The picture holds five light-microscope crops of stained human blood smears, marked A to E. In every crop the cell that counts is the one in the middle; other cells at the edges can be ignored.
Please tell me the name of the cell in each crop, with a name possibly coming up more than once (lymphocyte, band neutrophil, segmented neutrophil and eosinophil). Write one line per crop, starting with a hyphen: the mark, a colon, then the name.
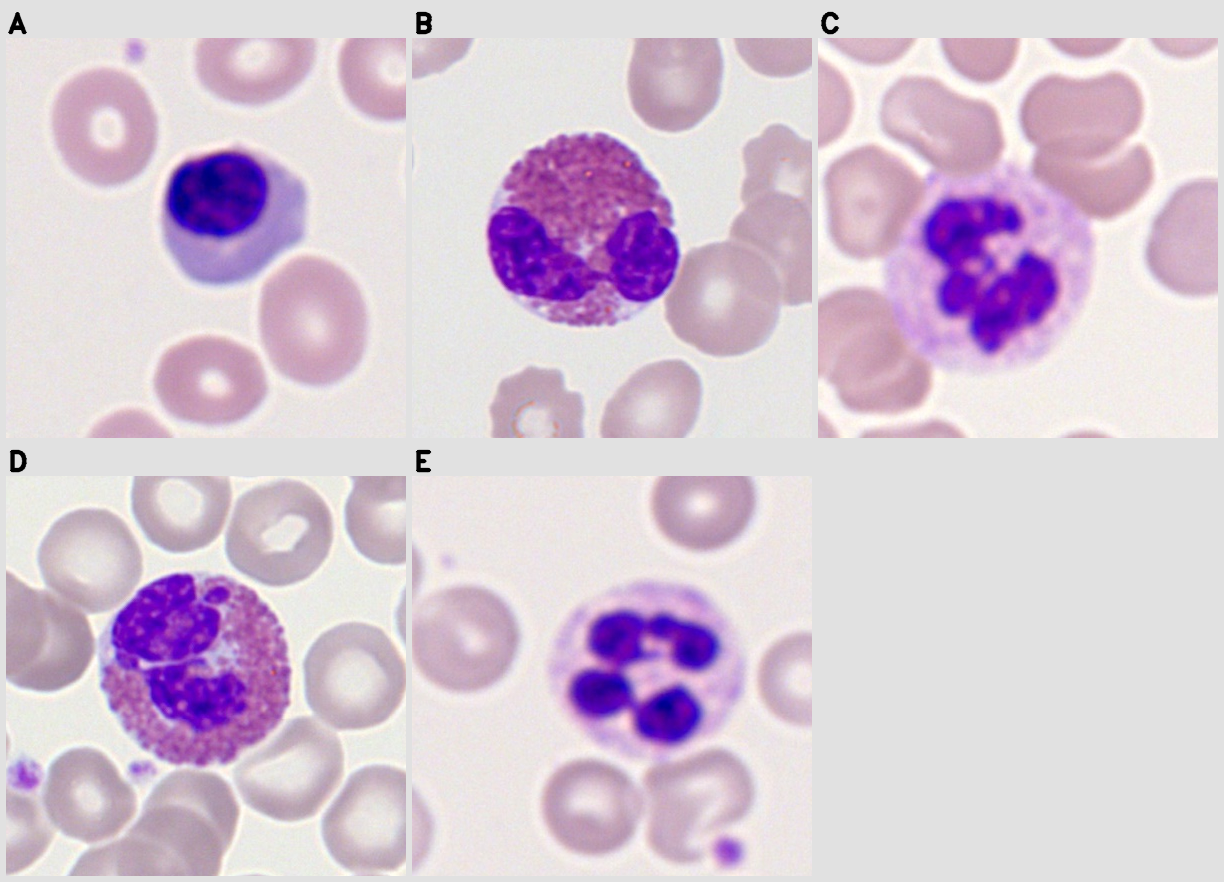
- A: lymphocyte
- B: eosinophil
- C: segmented neutrophil
- D: eosinophil
- E: segmented neutrophil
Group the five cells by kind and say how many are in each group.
eosinophil: 2
segmented neutrophil: 2
lymphocyte: 1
